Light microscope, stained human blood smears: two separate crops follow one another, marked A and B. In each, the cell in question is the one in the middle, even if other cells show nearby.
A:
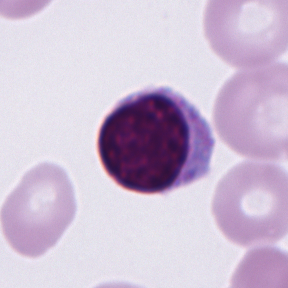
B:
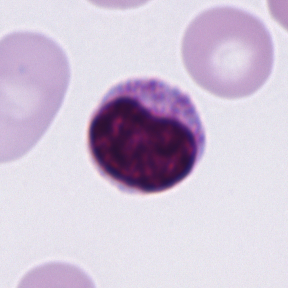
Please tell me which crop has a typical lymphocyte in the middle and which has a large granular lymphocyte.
A: typical lymphocyte
B: large granular lymphocyte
